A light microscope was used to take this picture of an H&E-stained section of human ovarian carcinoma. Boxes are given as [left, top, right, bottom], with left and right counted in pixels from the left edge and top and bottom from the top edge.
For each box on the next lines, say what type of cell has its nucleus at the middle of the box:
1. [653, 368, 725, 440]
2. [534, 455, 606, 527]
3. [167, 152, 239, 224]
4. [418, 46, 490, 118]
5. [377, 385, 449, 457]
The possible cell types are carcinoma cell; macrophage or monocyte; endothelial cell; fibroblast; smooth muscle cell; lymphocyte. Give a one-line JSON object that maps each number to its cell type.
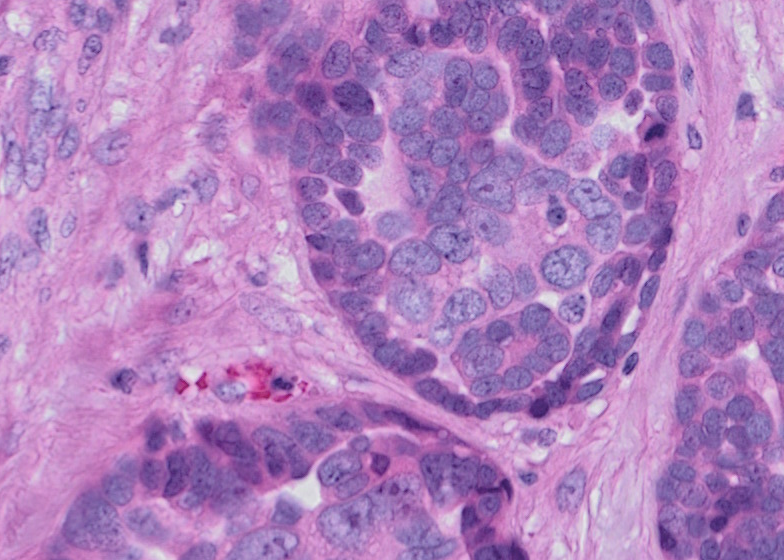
{"1": "carcinoma cell", "2": "fibroblast", "3": "fibroblast", "4": "carcinoma cell", "5": "carcinoma cell"}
